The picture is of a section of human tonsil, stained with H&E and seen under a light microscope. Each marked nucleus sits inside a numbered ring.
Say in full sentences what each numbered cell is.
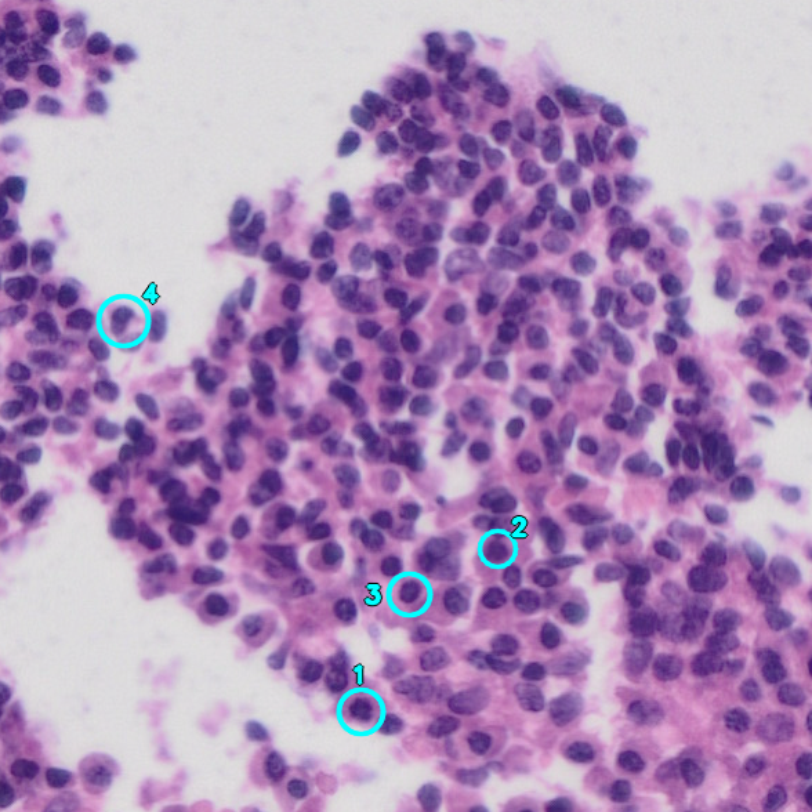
Cells 1, 2 and 3 are plasma cells. Cell 4 is a small lymphocyte.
